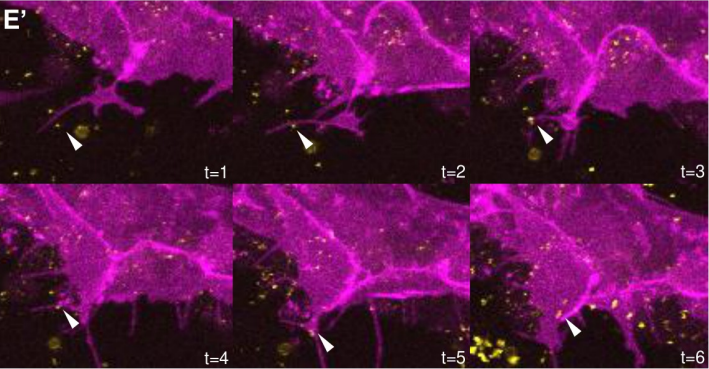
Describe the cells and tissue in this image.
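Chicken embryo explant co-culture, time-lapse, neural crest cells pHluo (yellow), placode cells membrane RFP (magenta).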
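A filopodium extends toward a small yellow extracellular punctum, which comes to lie at and then within the magenta cell margin in later frames. Many other small yellow dots are scattered over and around the cell.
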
